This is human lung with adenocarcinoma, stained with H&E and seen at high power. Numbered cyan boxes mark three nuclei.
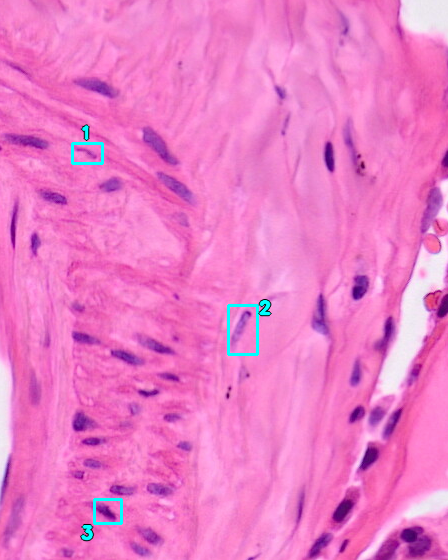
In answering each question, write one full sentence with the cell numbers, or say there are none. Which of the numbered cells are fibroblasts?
Cell 2 is a fibroblast and is the only numbered cell of that kind.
